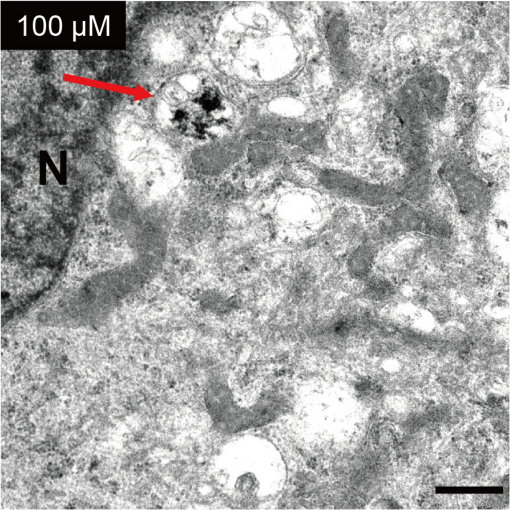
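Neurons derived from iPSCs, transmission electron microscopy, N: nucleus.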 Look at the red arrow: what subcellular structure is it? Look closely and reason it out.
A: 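Autophagosomes. The arrow points to a round membrane-bound vesicle near the nucleus. The vesicle contains dark, dense clumped material.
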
